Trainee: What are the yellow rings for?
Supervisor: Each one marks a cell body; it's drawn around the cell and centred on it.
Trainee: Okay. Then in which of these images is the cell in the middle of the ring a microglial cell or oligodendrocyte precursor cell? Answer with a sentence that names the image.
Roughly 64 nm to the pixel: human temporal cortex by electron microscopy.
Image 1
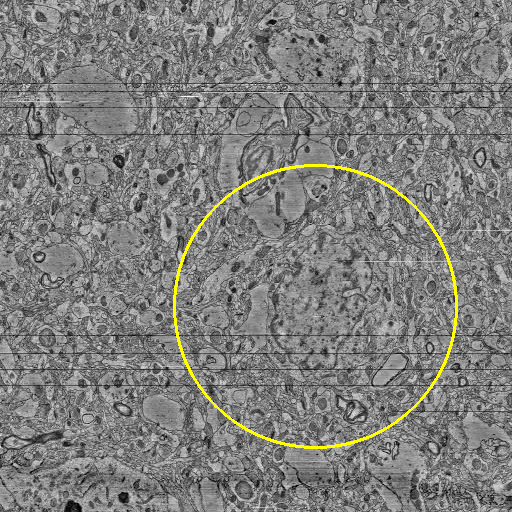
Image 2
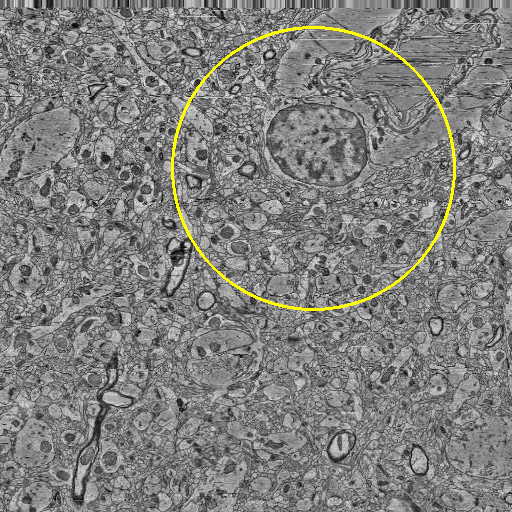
Image 2 has it in the middle of the ring.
